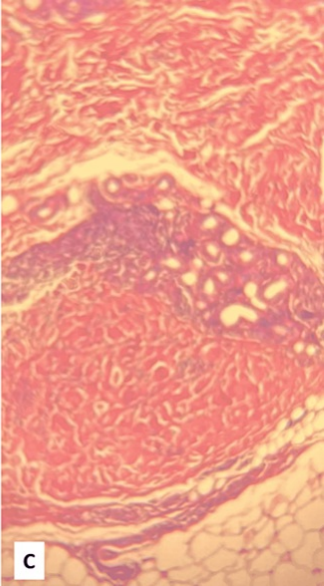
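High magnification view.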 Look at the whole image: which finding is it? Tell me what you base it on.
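Fat cells lie at the bottom edge beside the fibrous bands.
Hence: collagenous fibrosis.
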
